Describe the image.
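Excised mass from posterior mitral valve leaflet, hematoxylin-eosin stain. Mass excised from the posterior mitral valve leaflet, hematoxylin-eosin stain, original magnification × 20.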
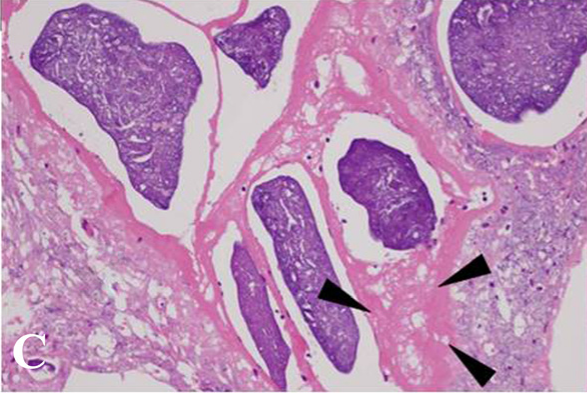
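Several rounded and elongated deep purple, granular calcified nodules sit in clear clefts, each separated from the surrounding material by a thin empty space. Between them run homogeneous pink strands and sheets of dense fibrin with very few nuclei. Toward the edges the tissue becomes looser and paler, with a finely vacuolated, frothy pink background and scattered small dark nuclei.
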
